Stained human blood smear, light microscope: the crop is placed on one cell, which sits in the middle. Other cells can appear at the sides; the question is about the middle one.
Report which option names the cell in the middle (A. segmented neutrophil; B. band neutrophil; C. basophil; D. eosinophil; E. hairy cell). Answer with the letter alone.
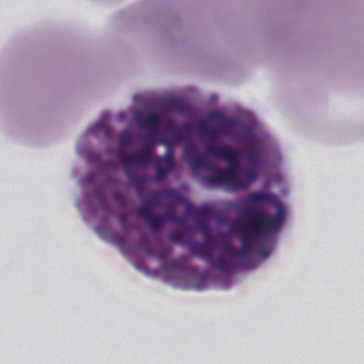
D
